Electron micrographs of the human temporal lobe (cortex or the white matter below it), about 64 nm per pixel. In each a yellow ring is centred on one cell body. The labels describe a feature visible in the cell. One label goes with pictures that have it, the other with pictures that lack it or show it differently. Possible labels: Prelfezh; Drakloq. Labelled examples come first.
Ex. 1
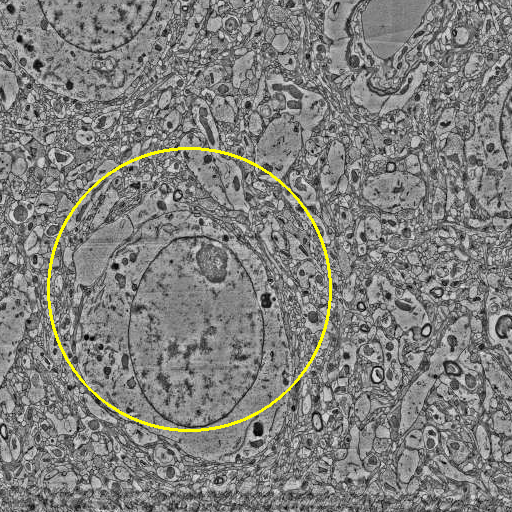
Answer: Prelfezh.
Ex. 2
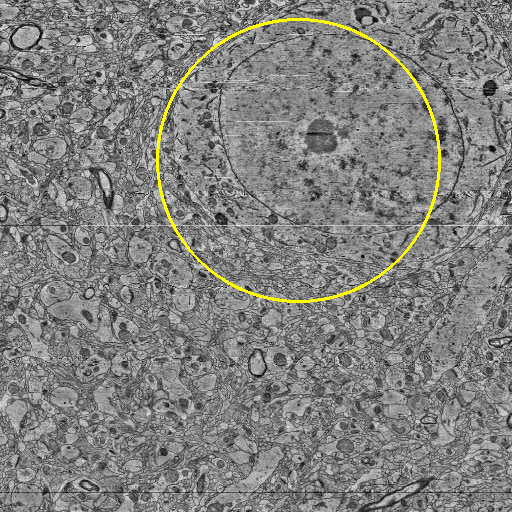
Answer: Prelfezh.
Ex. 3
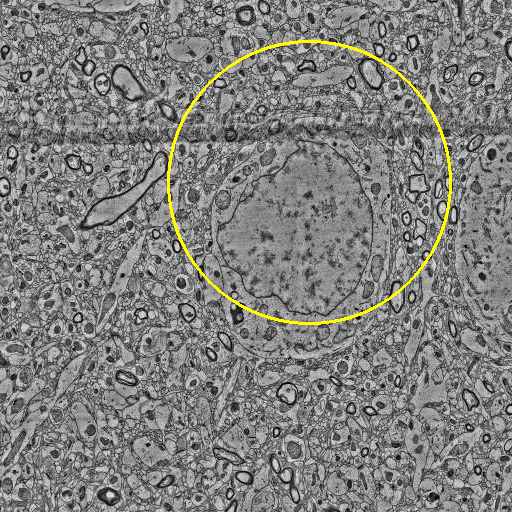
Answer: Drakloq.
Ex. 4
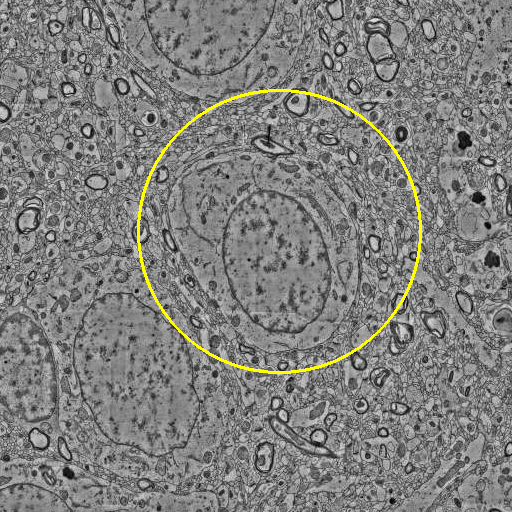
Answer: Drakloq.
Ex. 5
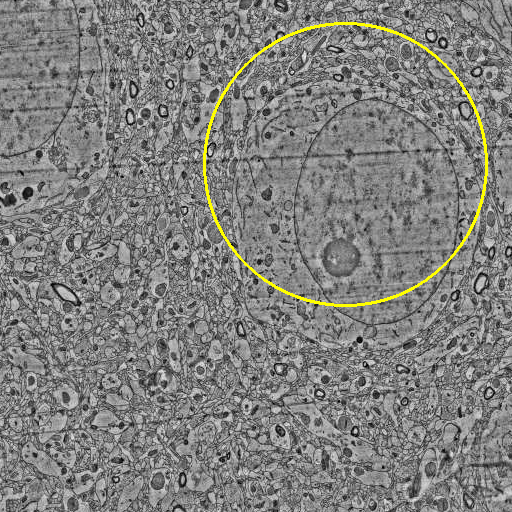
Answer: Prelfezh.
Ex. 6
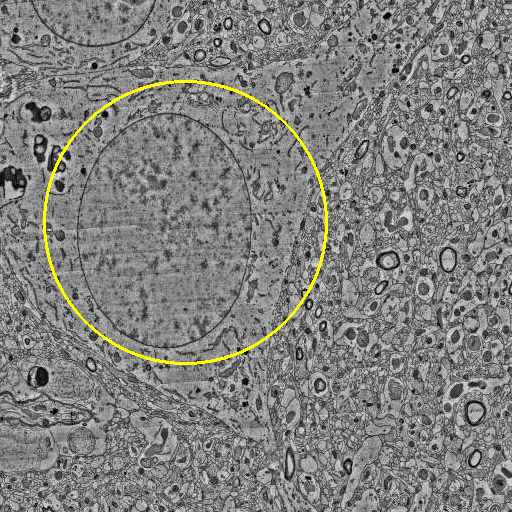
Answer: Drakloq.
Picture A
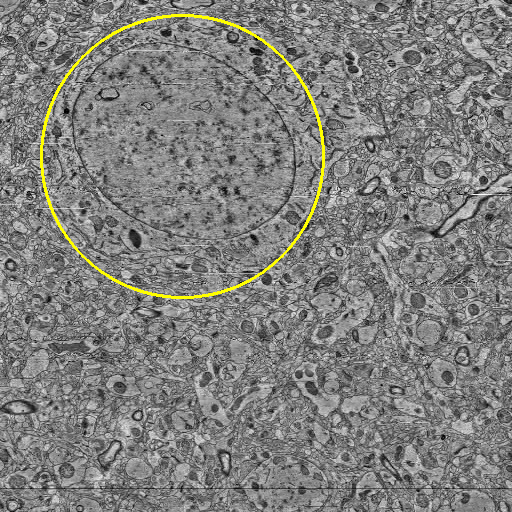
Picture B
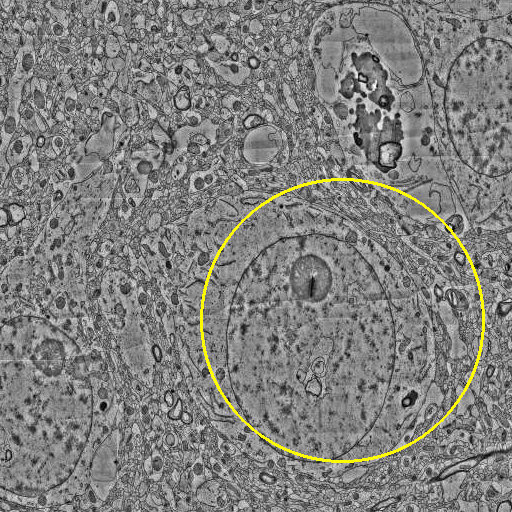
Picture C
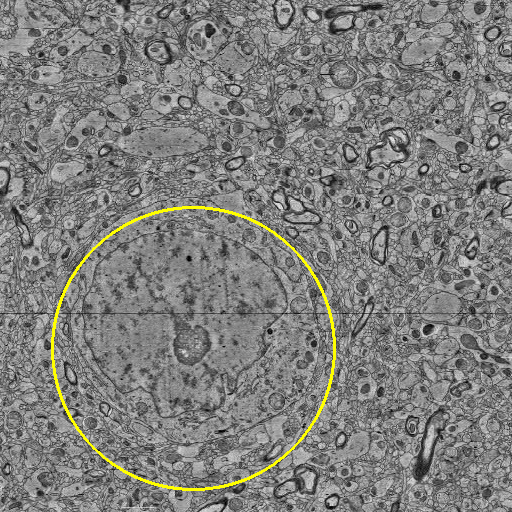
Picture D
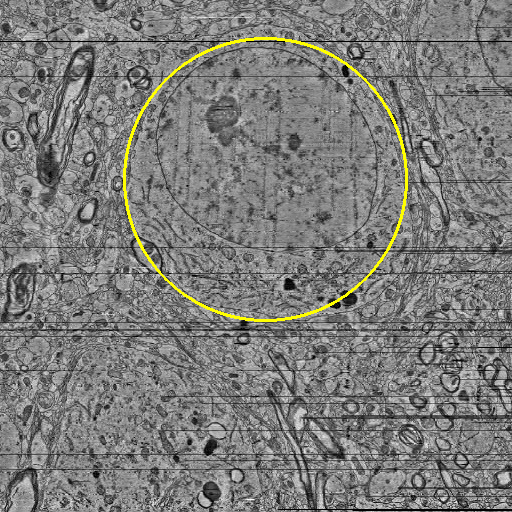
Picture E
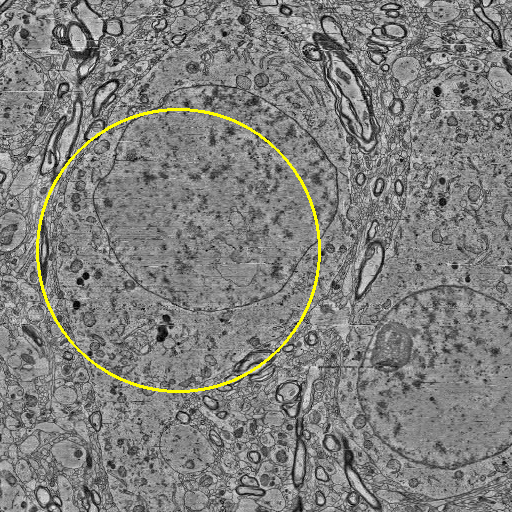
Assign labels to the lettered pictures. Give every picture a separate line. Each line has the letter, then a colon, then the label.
A: Drakloq.
B: Prelfezh.
C: Prelfezh.
D: Prelfezh.
E: Drakloq.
